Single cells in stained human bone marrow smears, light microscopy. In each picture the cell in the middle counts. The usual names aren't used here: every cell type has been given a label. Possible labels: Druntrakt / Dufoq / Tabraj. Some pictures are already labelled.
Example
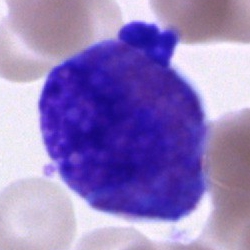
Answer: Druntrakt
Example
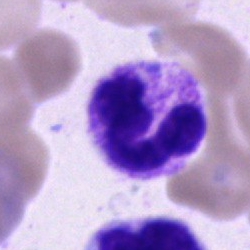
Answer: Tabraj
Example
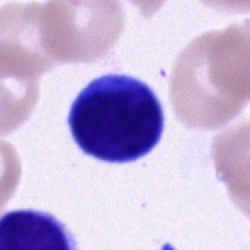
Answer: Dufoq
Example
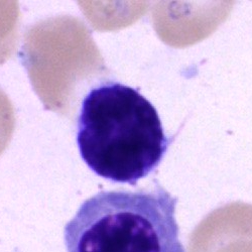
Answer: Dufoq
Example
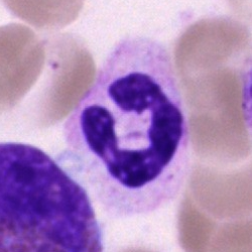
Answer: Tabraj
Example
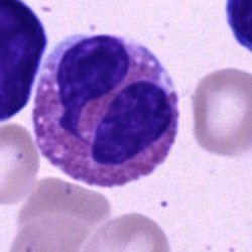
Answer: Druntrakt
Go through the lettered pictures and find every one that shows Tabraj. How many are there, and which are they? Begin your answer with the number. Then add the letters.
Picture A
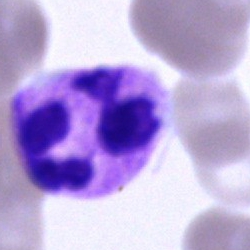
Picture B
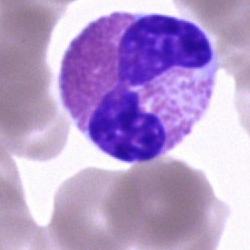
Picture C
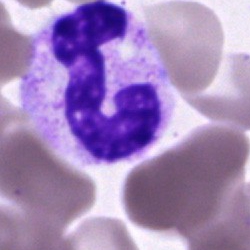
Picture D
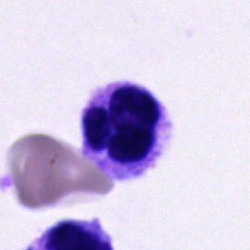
3, namely A, C, D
